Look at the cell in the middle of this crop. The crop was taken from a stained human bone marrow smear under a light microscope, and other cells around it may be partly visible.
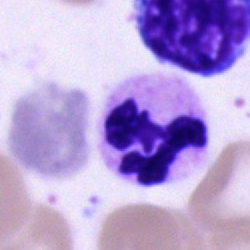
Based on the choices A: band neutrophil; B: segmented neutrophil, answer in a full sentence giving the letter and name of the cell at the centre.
Occupying the middle of the crop is a segmented neutrophil, hence option B is correct.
